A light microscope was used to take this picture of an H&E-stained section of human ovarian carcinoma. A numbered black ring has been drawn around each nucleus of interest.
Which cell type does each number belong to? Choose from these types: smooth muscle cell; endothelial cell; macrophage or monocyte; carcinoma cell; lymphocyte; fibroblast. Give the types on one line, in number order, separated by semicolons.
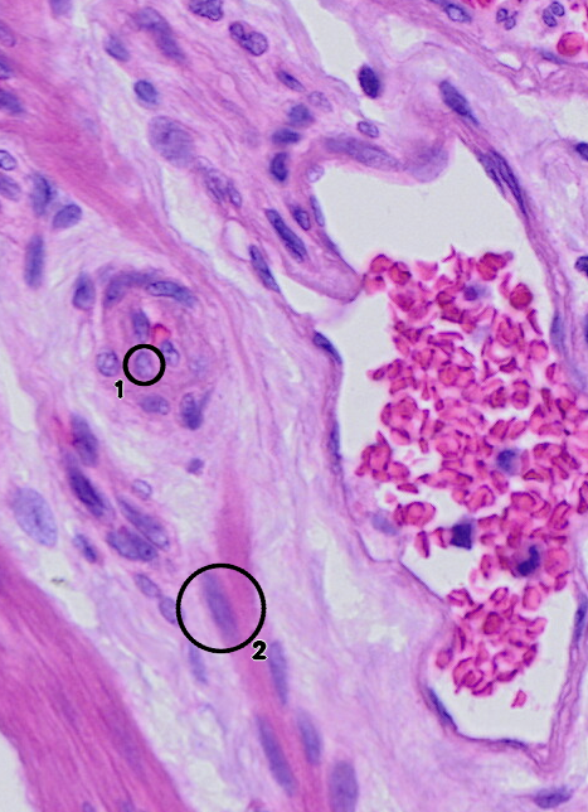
endothelial cell; smooth muscle cell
